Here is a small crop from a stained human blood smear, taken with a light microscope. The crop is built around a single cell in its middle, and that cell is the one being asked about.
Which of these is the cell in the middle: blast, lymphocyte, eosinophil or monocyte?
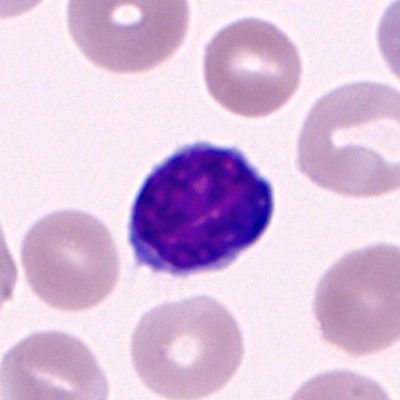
lymphocyte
